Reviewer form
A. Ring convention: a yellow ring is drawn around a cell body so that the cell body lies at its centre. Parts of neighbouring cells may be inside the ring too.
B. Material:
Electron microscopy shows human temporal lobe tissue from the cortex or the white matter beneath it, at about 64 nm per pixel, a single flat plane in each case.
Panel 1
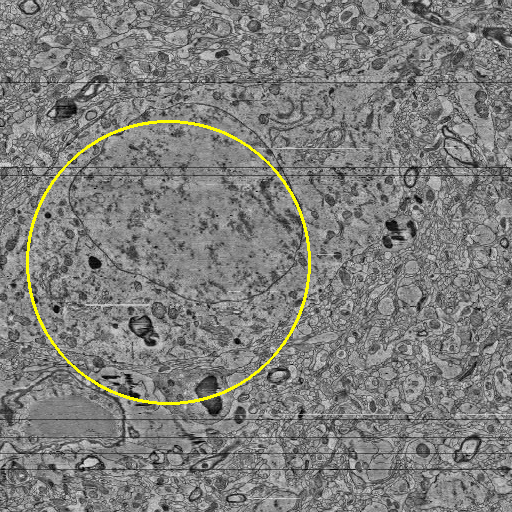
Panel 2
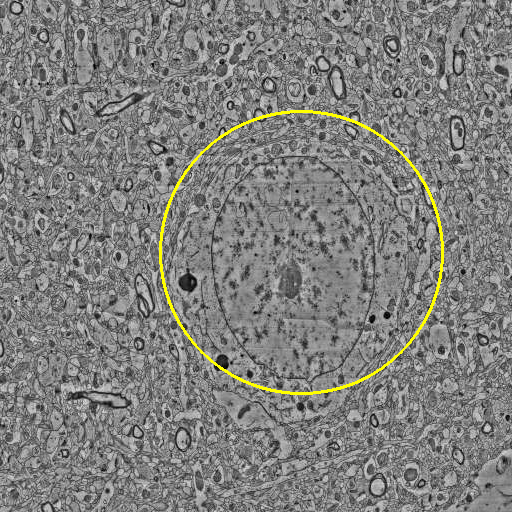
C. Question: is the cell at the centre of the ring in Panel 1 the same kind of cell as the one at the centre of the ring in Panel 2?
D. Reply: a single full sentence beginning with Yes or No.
Yes, the cells in Panel 1 and Panel 2 are the same kind of cell.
